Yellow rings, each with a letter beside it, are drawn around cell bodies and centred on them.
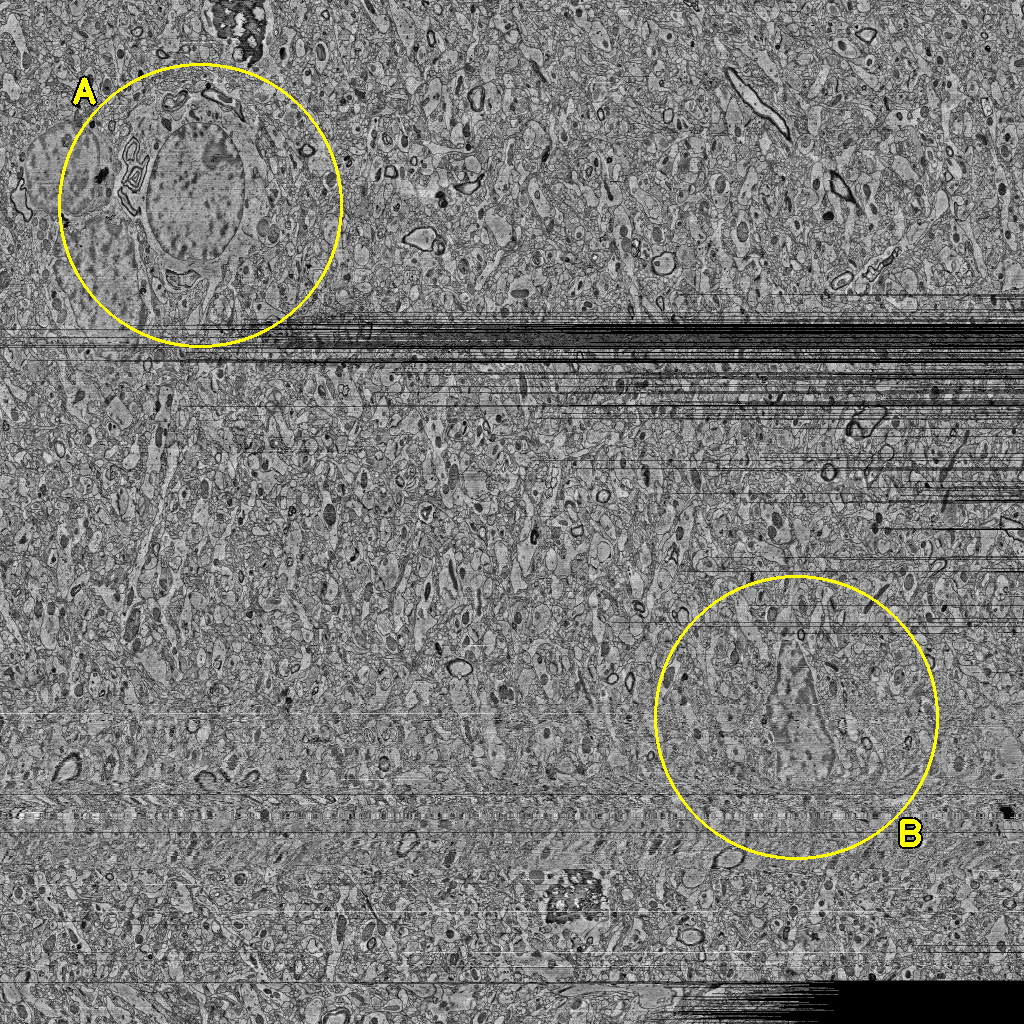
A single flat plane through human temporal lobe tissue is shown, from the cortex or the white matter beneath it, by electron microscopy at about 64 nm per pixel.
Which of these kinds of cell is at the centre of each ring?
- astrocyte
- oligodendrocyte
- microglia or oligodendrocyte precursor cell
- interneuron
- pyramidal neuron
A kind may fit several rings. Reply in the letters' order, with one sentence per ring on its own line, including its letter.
The cell in the middle of ring A is an astrocyte.
The cell in the middle of ring B is a microglial cell or oligodendrocyte precursor cell.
